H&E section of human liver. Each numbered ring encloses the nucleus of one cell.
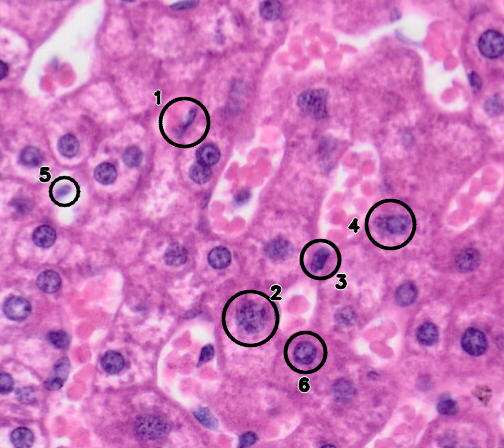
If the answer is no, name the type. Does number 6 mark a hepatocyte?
Yes.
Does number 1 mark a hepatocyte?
No, it is an endothelial cell.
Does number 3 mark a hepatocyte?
No, it is a fibroblast or stellate cell.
